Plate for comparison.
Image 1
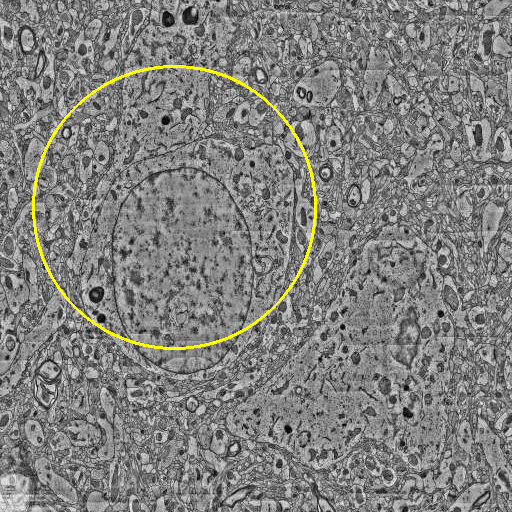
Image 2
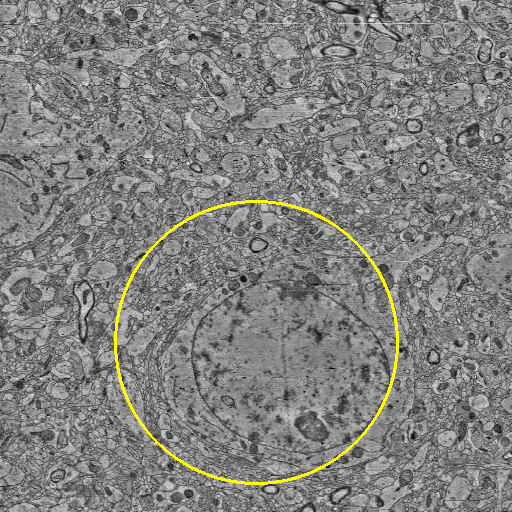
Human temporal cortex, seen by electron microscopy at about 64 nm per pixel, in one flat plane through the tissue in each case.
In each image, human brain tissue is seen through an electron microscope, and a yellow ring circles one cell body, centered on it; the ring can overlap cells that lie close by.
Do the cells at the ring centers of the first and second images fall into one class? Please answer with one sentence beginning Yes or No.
Yes, the first and second images show a single class of cell at the ring centers.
